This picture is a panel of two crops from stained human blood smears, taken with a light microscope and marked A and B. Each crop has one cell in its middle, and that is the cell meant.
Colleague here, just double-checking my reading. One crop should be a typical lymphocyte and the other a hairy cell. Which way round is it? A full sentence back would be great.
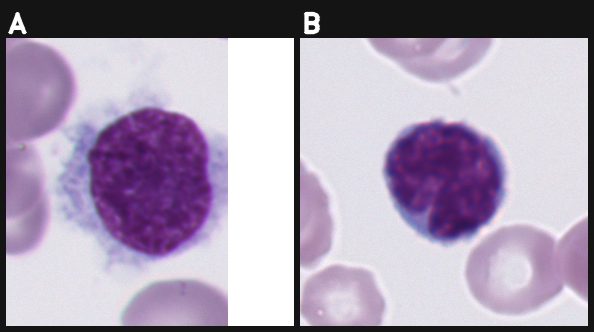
At the centre of crop A lies a hairy cell, and at the centre of crop B lies a typical lymphocyte.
